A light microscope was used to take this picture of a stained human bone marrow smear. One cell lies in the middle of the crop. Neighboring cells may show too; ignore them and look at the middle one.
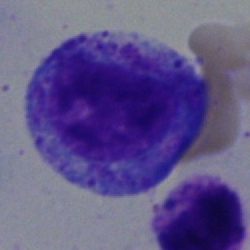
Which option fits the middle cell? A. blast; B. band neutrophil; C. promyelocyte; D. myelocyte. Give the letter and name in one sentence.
Option C is correct in naming the middle cell a promyelocyte.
